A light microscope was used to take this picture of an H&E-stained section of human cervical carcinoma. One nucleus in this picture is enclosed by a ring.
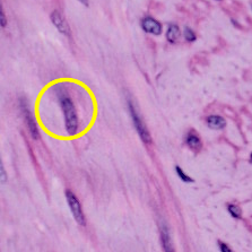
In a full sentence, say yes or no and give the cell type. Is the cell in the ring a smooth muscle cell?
Yes, correct on this one: the cell in the ring is a smooth muscle cell.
